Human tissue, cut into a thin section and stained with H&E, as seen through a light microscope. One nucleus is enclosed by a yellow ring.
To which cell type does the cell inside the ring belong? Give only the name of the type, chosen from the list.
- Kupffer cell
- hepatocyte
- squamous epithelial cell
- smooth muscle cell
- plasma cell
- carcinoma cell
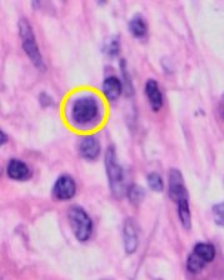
plasma cell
